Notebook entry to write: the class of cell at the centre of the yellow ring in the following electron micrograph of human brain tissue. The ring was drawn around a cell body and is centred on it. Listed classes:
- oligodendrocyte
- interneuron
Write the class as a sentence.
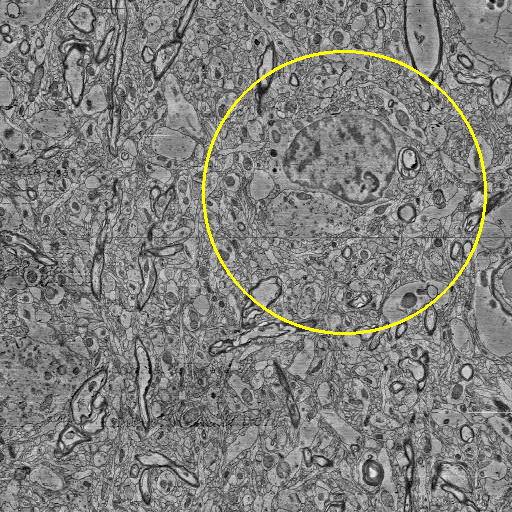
The yellow ring sits on an oligodendrocyte.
